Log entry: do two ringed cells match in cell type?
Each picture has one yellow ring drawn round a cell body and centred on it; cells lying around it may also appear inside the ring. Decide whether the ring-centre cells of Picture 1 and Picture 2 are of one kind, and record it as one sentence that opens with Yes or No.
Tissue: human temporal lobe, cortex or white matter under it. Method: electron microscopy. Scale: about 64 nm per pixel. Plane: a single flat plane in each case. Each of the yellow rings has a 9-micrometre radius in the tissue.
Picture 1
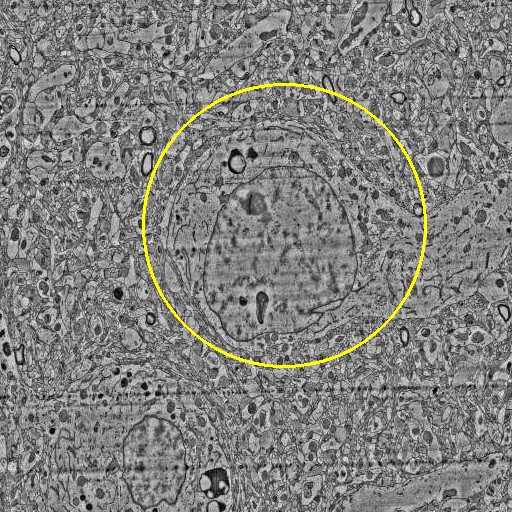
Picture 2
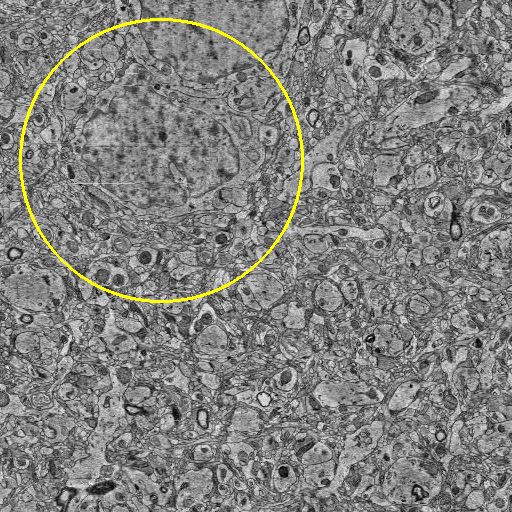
No, the cells at the ring centres of the two pictures belong to two kinds.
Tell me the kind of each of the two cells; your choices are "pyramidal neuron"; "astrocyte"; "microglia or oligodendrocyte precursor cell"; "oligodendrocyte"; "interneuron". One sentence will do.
The ringed cell is a pyramidal neuron in the first picture and an interneuron in the second picture.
